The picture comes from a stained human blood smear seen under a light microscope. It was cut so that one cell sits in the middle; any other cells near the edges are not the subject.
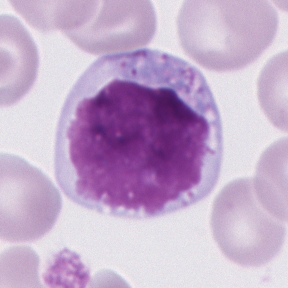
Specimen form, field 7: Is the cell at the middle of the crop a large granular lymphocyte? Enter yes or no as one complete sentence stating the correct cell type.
Yes, the cell at the centre of this crop is identified as a large granular lymphocyte.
